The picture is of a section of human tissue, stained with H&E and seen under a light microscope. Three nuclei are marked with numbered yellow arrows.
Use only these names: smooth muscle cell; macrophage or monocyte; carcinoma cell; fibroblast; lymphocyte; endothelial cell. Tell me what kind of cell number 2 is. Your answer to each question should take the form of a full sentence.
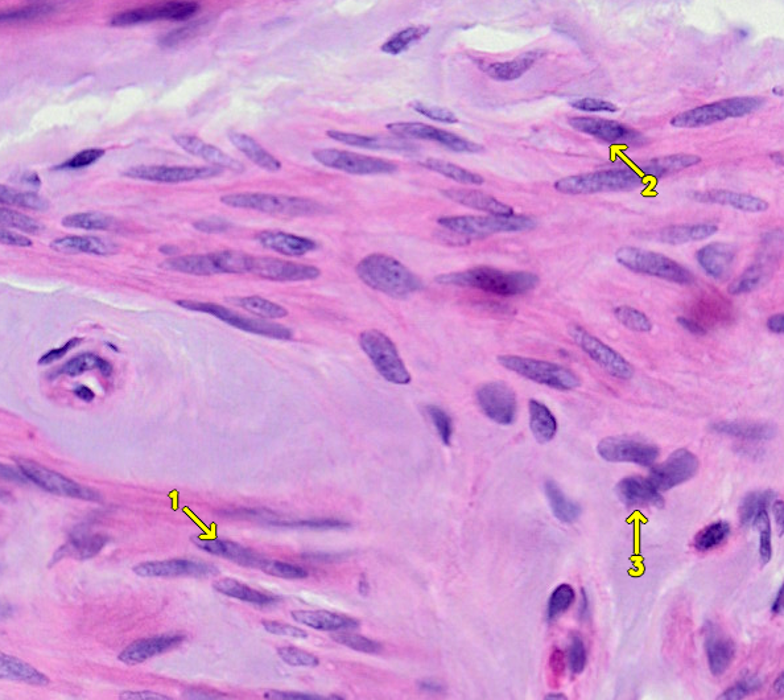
Regarding cell 2, this one is a smooth muscle cell.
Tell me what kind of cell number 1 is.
In the tissue shown, cell 1 is a smooth muscle cell.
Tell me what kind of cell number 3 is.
Cell 3 should be recorded as a fibroblast.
